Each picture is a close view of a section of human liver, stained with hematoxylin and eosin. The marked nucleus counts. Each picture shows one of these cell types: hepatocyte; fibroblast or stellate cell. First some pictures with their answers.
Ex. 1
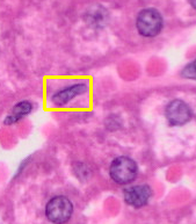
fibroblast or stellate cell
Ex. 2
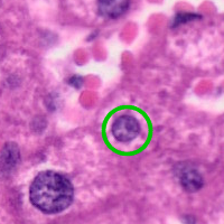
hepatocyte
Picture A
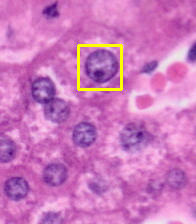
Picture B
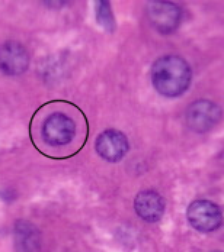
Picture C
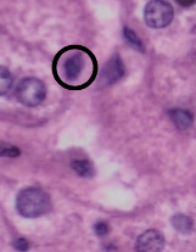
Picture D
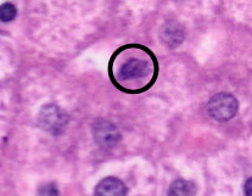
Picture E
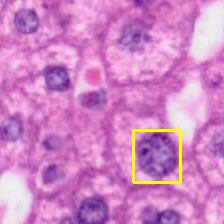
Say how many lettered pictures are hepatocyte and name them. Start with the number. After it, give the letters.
3: A, B, E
